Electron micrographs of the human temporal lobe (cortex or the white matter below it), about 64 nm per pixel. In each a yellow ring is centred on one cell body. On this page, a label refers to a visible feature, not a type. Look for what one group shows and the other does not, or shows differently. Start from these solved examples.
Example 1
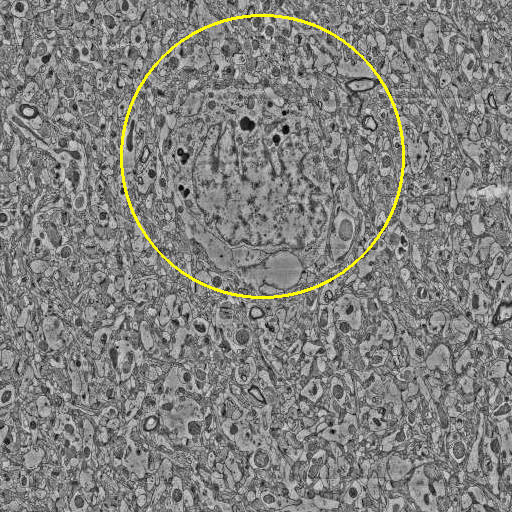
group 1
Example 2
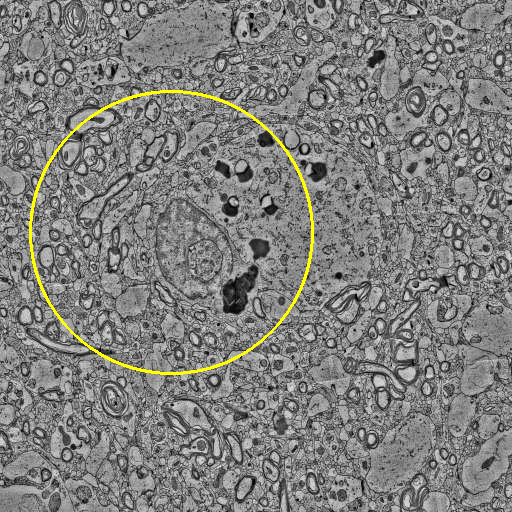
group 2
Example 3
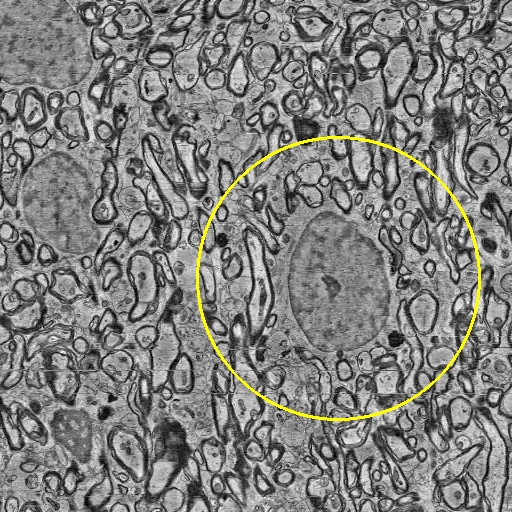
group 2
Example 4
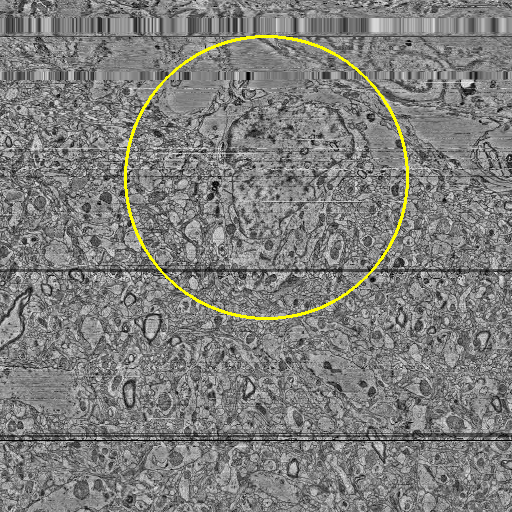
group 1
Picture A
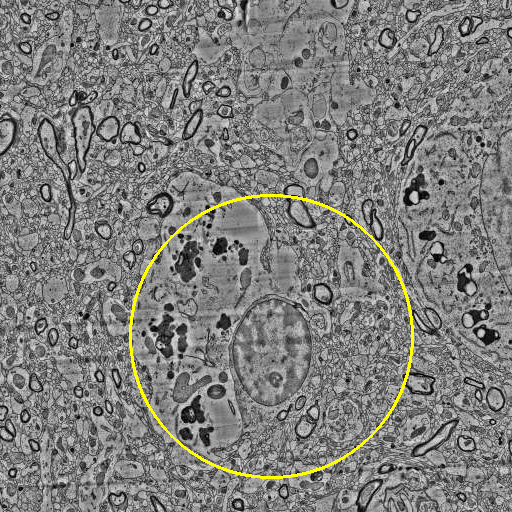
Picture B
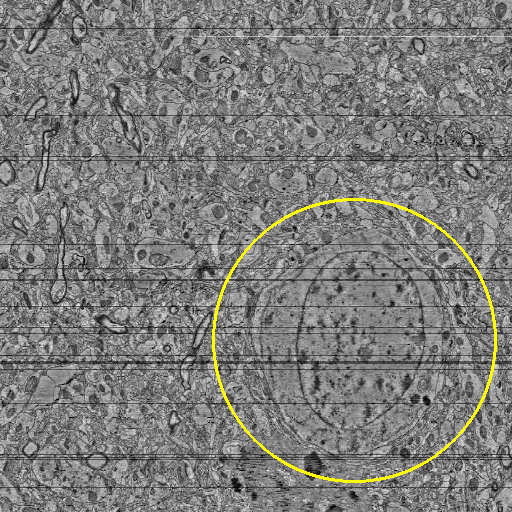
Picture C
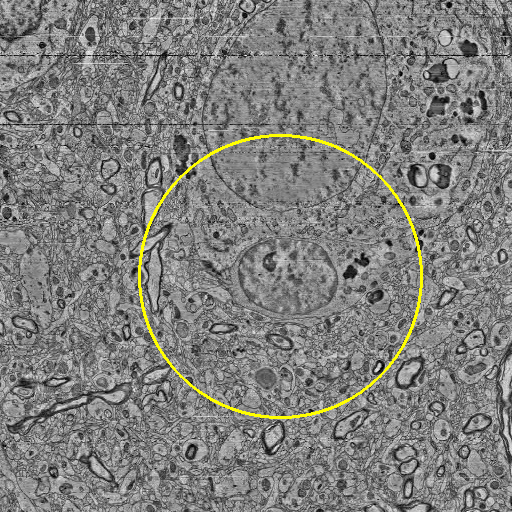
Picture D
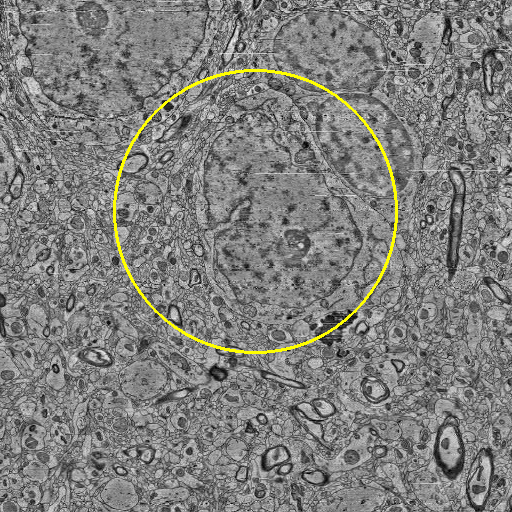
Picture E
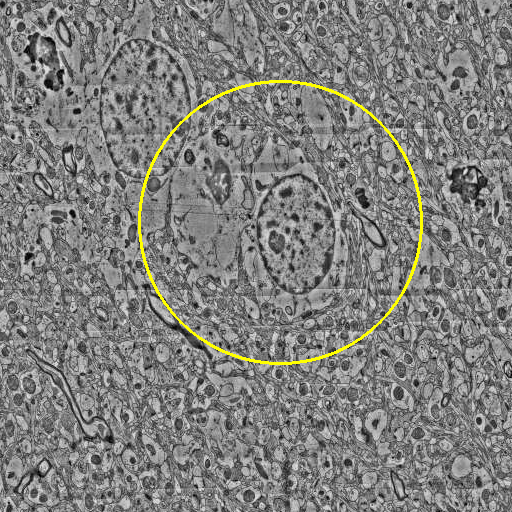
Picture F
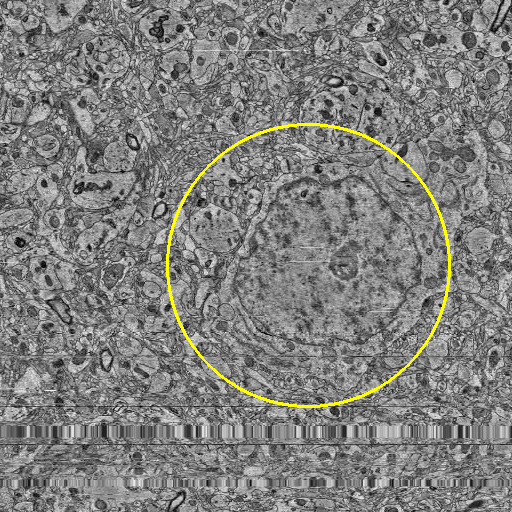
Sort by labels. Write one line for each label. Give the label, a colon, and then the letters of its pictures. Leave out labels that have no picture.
group 1: B
group 2: A, C, D, E, F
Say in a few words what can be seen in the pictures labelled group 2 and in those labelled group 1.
group 2: nucleolus seen; group 1: no nucleolus seen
